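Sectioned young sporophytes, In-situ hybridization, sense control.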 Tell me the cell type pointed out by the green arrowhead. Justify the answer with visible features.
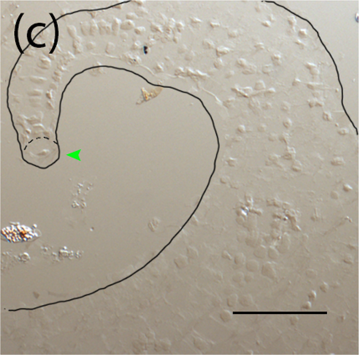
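Leaf apical cell. The arrowhead points to a single cell enclosed by a dashed line at the rounded tip of the coiled outlined structure.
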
